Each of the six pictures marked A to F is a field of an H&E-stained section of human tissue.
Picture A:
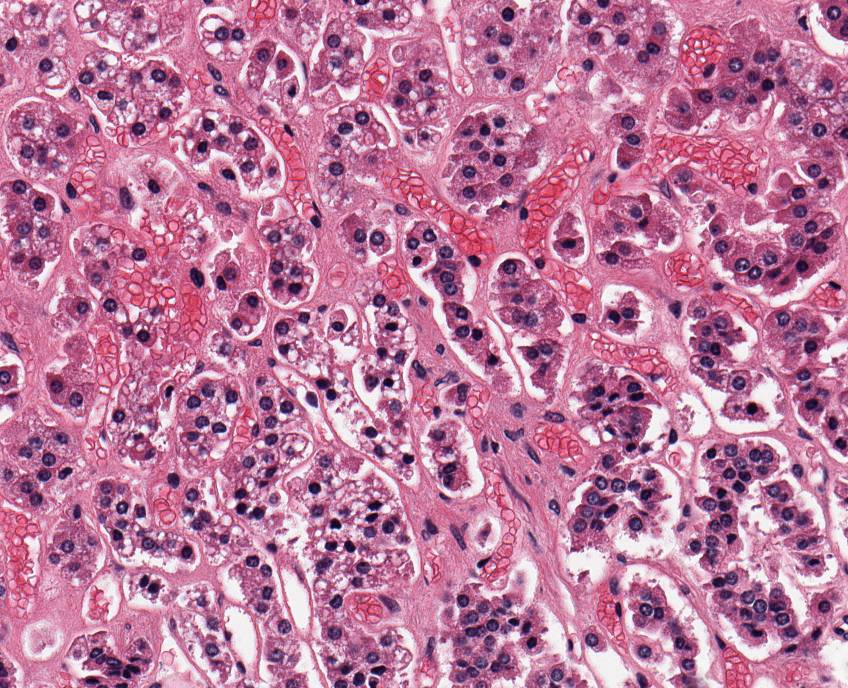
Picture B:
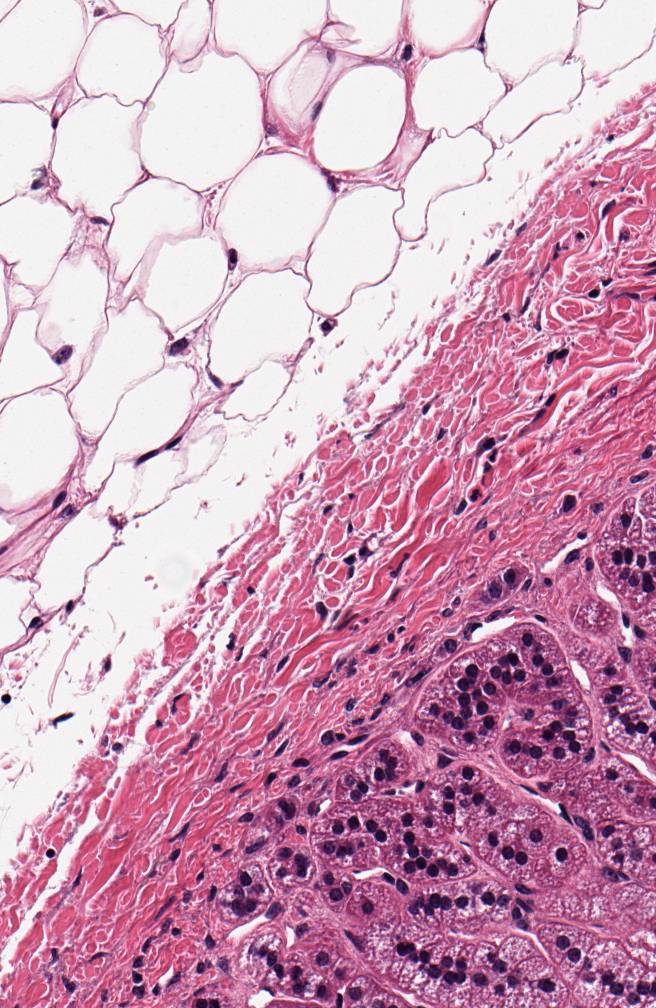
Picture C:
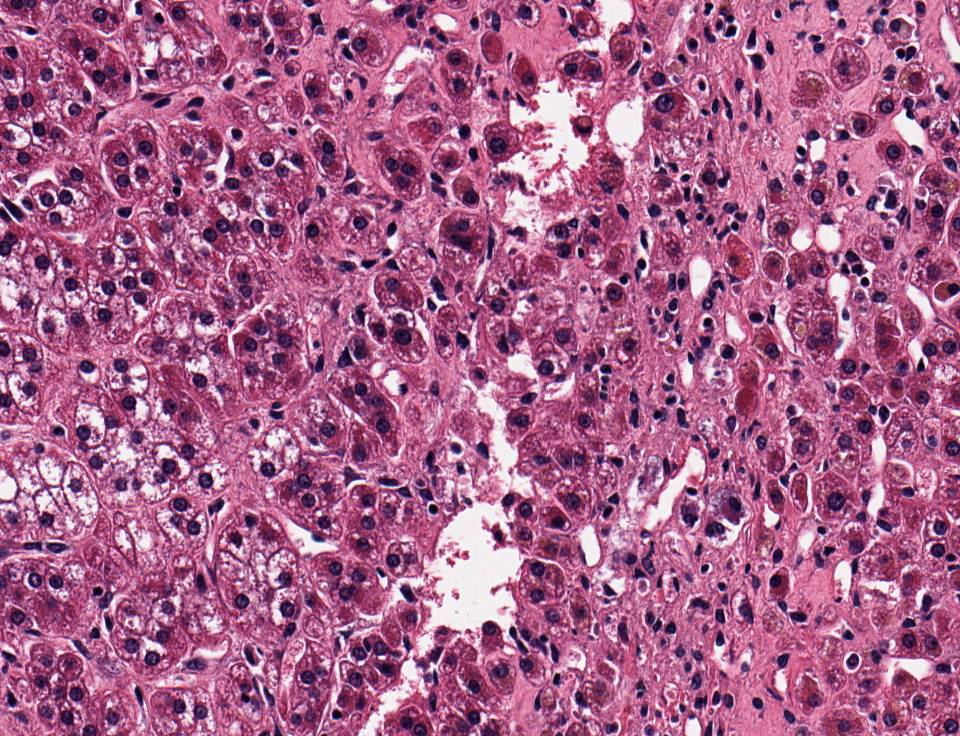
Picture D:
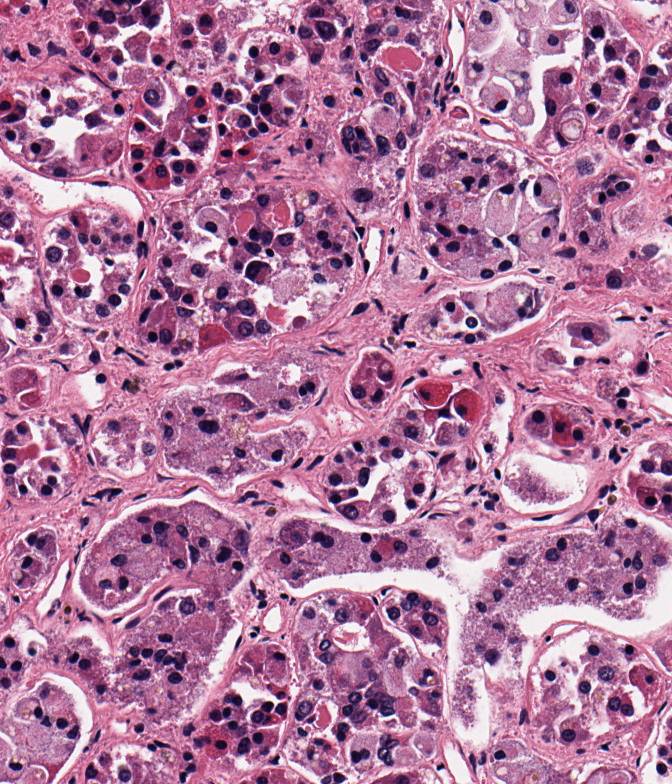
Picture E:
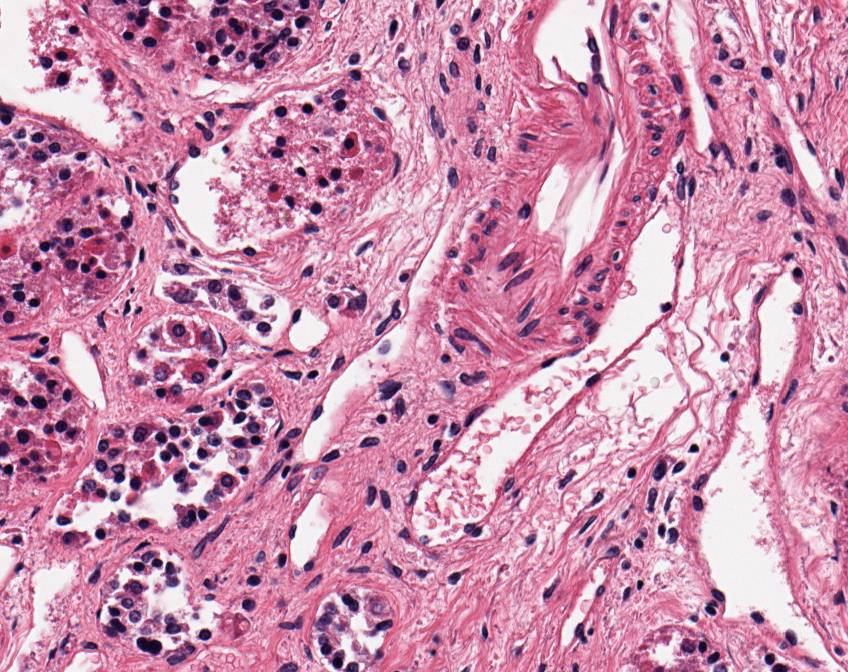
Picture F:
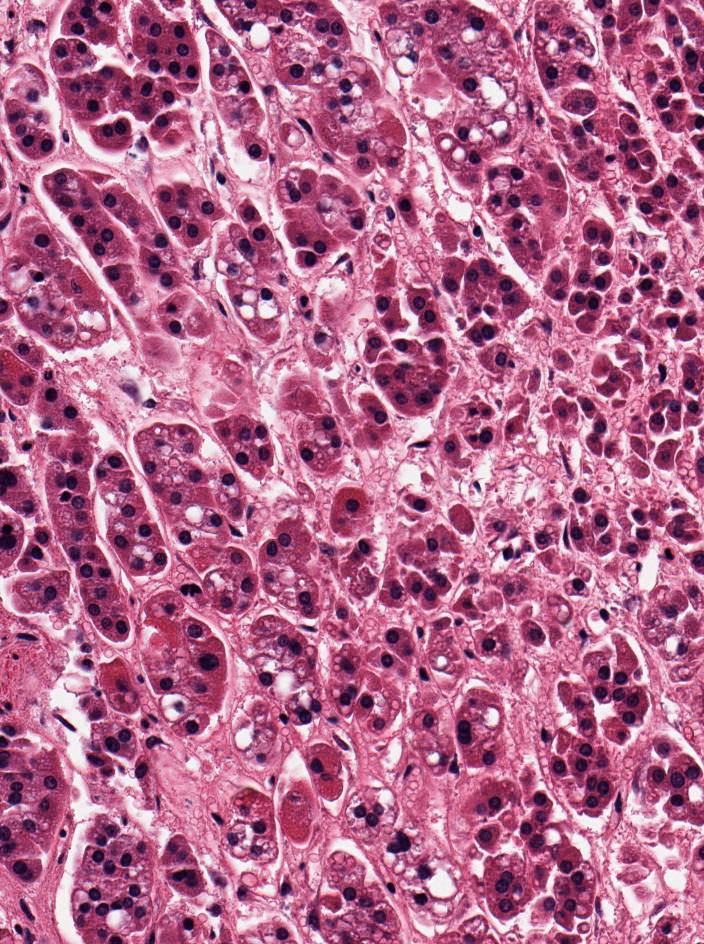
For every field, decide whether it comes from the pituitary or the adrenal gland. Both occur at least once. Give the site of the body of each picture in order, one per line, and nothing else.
adrenal gland
adrenal gland
adrenal gland
pituitary
pituitary
adrenal gland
